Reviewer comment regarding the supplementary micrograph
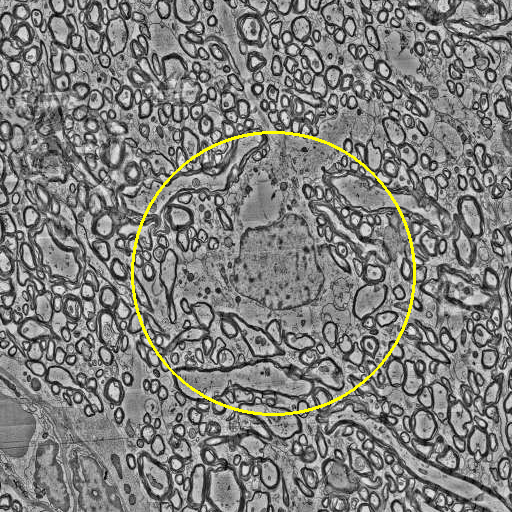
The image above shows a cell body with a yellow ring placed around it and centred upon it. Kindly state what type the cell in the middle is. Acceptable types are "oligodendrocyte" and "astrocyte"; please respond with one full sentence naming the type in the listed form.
In the image above, the cell on which the yellow ring is centred is an astrocyte.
